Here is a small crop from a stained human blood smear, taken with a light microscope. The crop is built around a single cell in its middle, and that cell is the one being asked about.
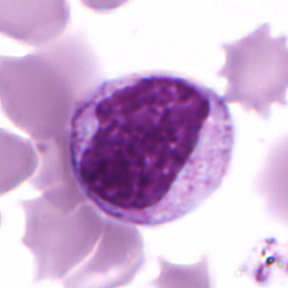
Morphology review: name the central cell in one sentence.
The middle of this crop holds a metamyelocyte.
